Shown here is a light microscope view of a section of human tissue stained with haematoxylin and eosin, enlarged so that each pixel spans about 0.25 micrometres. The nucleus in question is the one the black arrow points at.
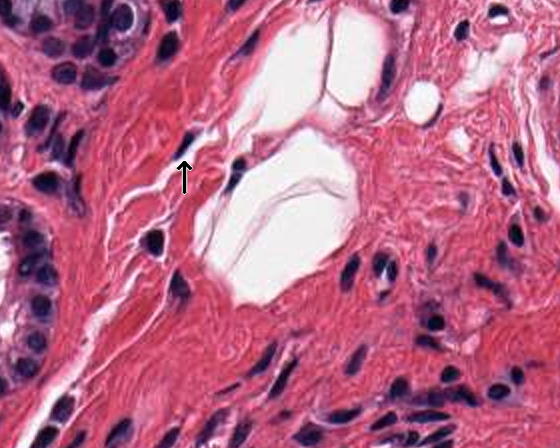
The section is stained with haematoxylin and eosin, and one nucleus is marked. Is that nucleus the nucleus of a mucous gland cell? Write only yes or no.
no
